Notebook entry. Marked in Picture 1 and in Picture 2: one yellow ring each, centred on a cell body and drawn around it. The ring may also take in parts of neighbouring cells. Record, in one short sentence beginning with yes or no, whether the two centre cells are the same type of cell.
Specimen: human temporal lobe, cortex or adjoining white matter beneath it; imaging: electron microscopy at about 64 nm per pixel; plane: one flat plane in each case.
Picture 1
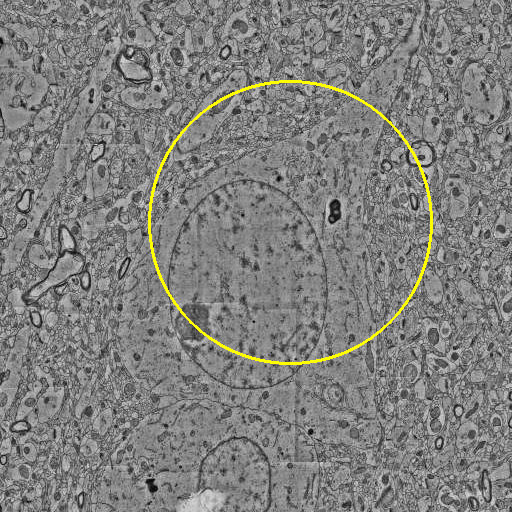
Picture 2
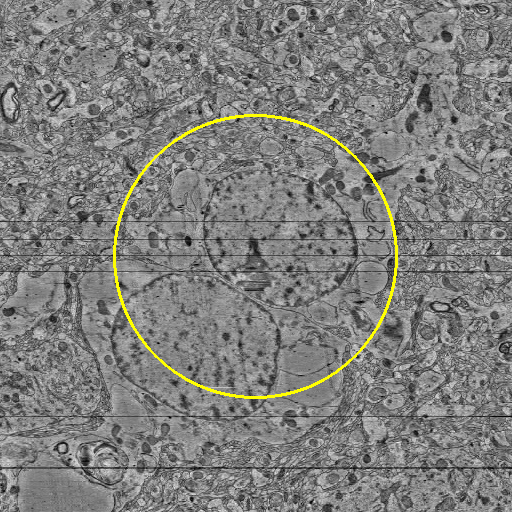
No, they are two types of cell.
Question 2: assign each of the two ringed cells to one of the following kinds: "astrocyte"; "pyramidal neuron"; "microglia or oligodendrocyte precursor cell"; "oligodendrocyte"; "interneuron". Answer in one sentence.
The two cells are a pyramidal neuron in the first picture and an astrocyte in the second.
